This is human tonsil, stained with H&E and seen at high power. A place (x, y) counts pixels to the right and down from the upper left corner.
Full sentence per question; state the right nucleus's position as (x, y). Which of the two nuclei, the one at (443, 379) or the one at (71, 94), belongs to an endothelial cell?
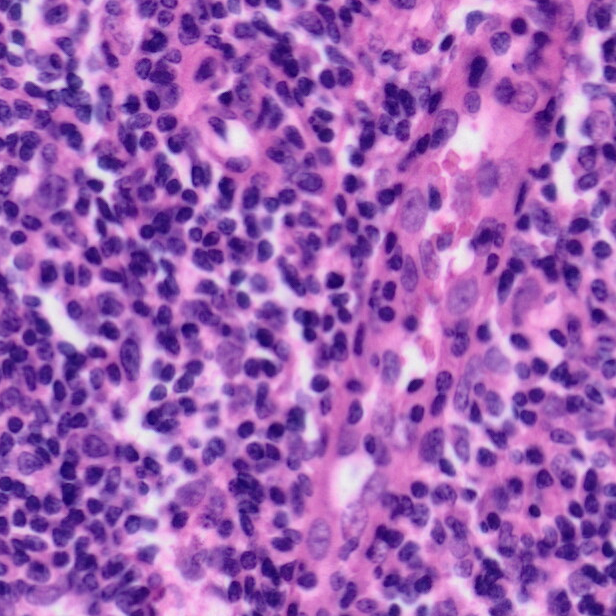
Of the two nuclei, that at (443, 379) is the nucleus of an endothelial cell.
